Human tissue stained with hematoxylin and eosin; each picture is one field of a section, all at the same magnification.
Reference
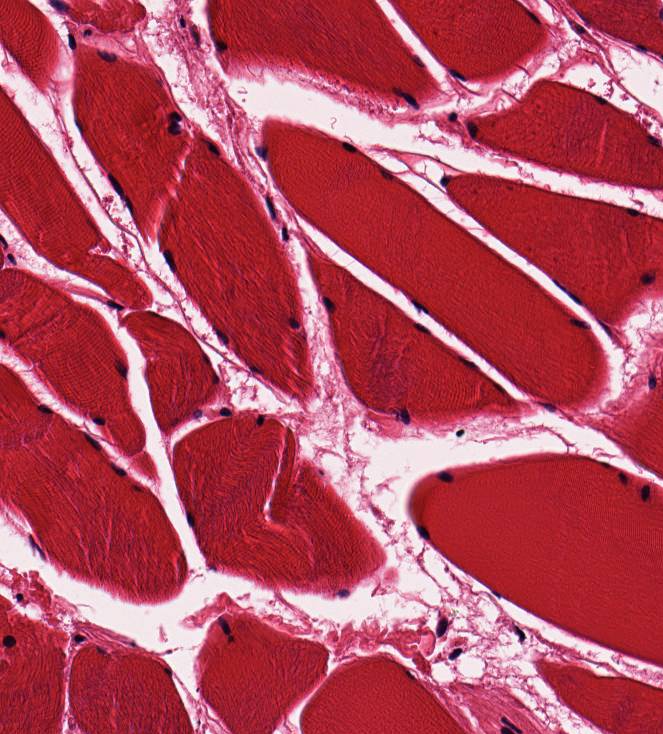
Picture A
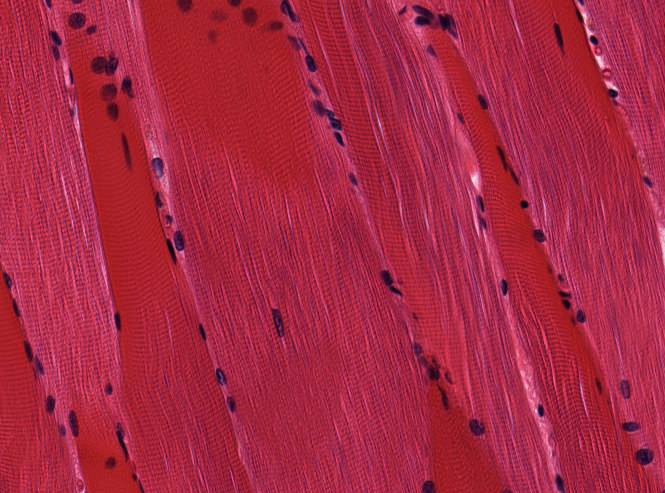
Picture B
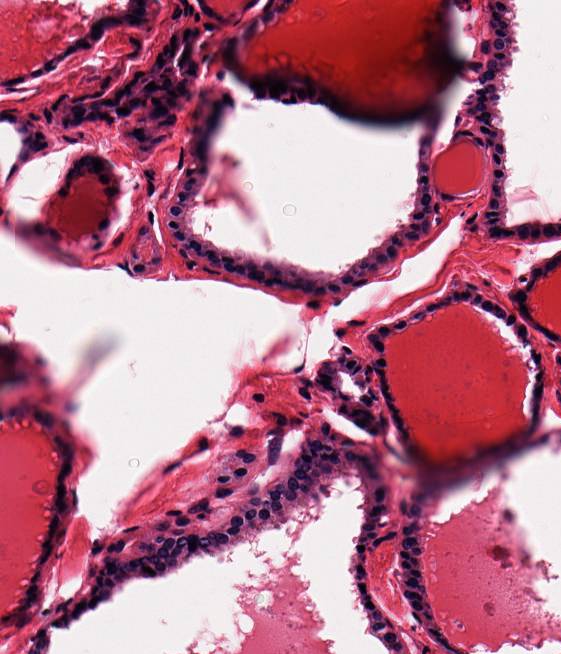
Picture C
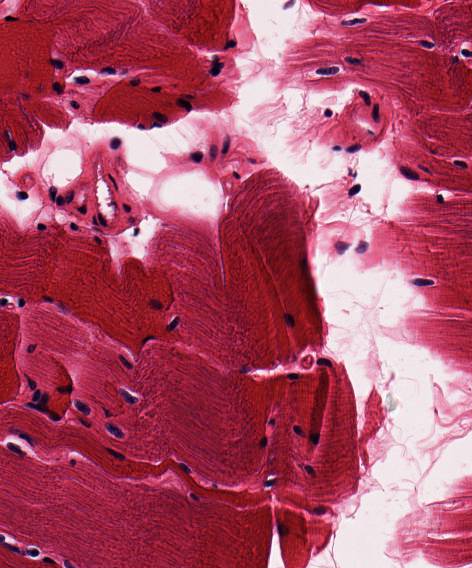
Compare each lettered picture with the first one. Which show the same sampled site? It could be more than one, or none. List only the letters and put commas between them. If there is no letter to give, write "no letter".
A, C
